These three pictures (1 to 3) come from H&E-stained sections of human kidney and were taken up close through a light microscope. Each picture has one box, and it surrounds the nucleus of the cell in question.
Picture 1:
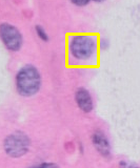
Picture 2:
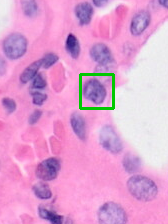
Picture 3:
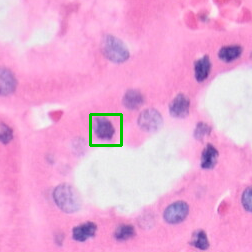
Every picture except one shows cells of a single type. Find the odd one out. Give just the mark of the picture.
2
